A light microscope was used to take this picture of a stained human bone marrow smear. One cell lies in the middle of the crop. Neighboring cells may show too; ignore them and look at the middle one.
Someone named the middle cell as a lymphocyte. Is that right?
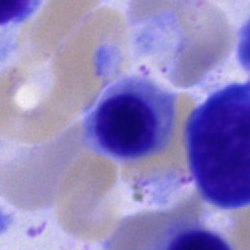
no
